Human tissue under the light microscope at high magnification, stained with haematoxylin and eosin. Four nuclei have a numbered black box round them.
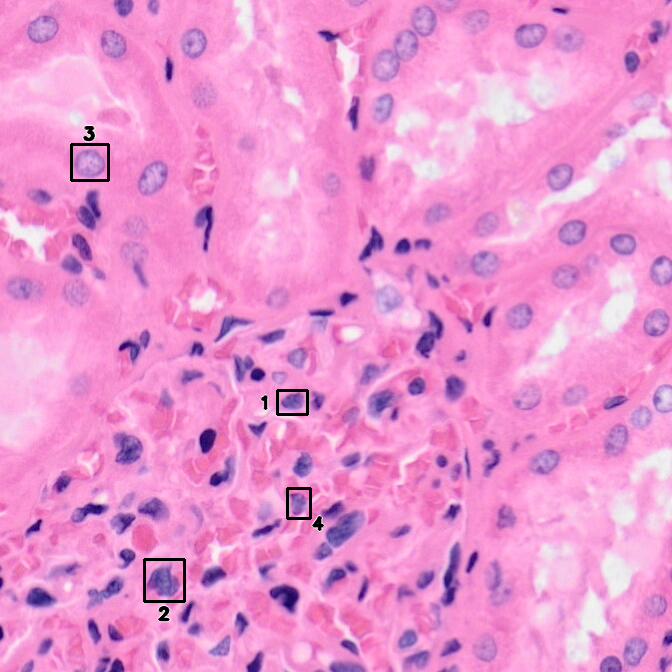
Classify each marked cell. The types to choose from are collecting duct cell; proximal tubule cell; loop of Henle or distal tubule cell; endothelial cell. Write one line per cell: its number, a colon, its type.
1: endothelial cell
2: endothelial cell
3: proximal tubule cell
4: endothelial cell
